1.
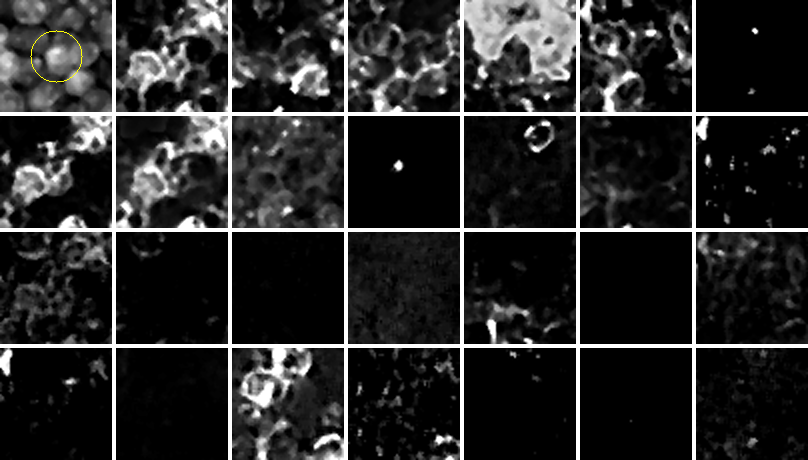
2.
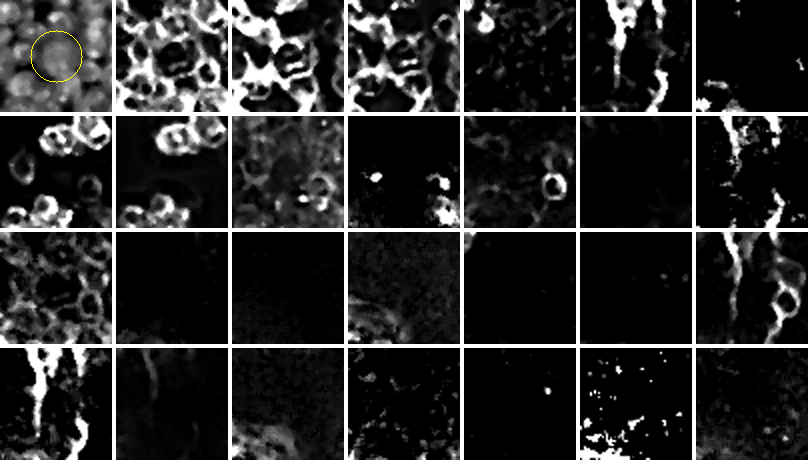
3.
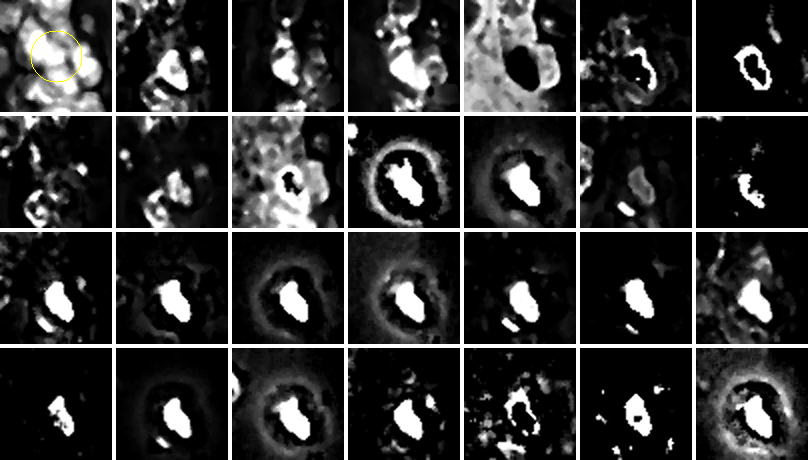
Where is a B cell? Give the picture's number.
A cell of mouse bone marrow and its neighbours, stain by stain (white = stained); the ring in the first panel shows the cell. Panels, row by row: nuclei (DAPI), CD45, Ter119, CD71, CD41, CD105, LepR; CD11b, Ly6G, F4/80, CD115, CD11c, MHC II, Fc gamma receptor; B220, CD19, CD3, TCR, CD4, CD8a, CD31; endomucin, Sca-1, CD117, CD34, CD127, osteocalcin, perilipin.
3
